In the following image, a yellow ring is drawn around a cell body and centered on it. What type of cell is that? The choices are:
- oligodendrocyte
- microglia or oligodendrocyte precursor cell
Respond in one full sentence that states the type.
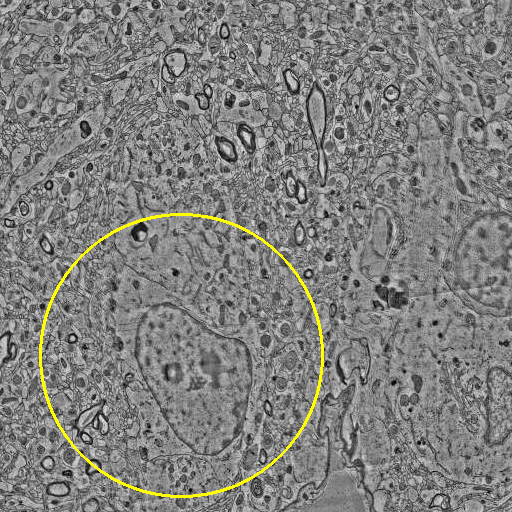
The cell at the center of the yellow ring in the image is a microglial cell or oligodendrocyte precursor cell.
